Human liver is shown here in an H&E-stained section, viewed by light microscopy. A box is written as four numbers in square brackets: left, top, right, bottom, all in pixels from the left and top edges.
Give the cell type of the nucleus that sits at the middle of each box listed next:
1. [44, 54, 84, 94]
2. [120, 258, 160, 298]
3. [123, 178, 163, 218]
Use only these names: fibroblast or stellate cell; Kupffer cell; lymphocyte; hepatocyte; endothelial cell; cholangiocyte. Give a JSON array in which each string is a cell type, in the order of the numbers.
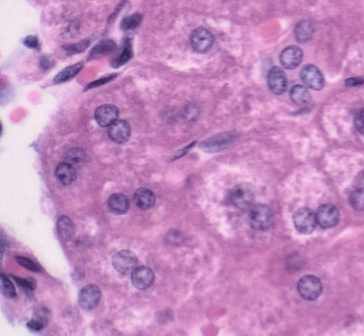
["fibroblast or stellate cell", "hepatocyte", "hepatocyte"]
